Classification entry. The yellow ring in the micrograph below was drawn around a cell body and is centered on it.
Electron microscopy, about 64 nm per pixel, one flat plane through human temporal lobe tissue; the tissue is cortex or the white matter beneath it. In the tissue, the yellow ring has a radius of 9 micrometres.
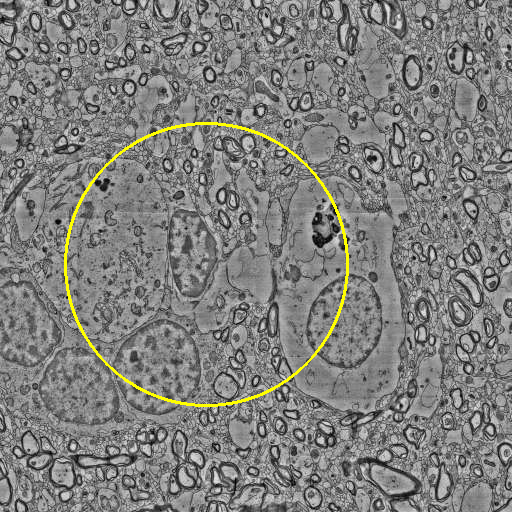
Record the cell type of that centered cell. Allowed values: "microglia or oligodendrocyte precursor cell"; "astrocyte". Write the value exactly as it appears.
microglia or oligodendrocyte precursor cell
